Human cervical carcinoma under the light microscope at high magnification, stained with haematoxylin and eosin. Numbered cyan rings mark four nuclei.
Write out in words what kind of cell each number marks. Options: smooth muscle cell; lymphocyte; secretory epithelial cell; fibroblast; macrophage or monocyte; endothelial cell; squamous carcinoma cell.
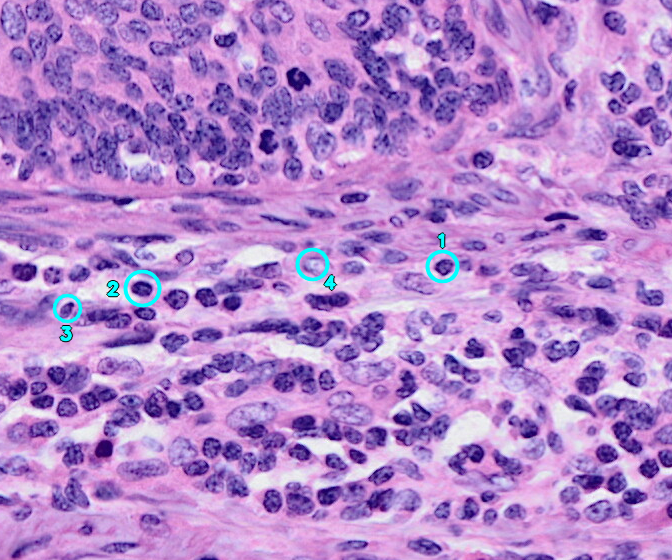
Cells 1, 2 and 3 are lymphocytes. Cell 4 is an endothelial cell.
